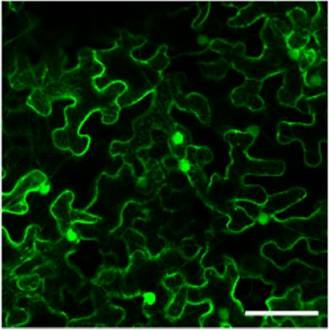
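Green fluorescence traces a thin rim along the periphery of each cell, following every lobe and indentation. Within this pattern, several small, bright, round green spots sit at the cell edges. The large interior of each cell is dark, so the green is confined to a narrow layer just inside the cell boundary.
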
